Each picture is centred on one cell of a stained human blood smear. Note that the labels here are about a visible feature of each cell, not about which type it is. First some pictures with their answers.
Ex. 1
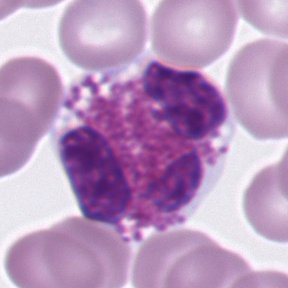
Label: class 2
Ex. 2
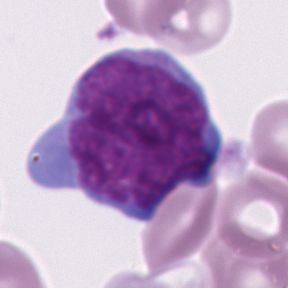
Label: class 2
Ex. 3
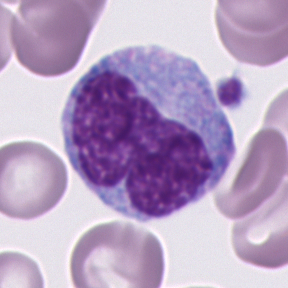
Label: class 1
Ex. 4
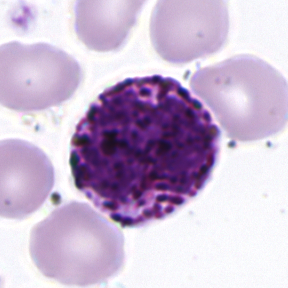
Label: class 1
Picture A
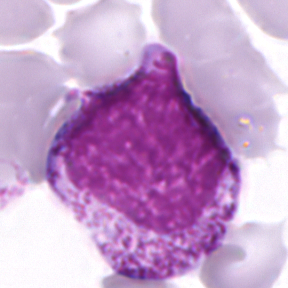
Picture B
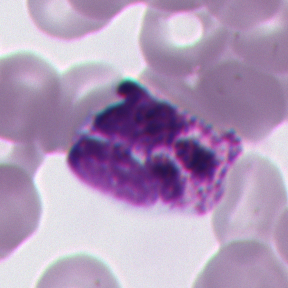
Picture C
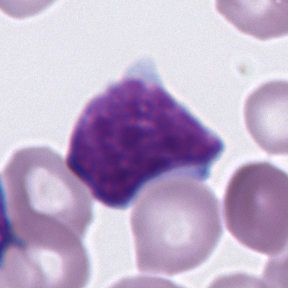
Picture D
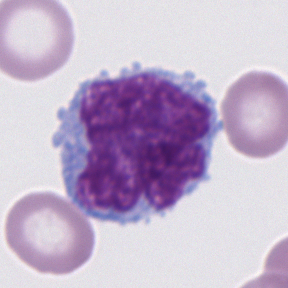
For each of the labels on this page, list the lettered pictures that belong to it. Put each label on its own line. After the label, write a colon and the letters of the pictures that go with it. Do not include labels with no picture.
class 2: A, B, C, D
